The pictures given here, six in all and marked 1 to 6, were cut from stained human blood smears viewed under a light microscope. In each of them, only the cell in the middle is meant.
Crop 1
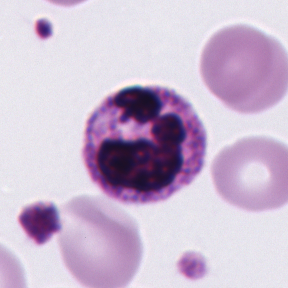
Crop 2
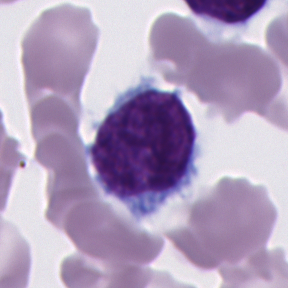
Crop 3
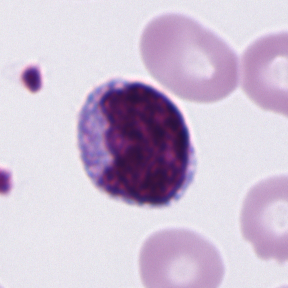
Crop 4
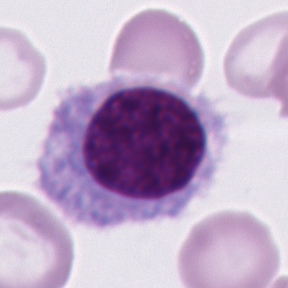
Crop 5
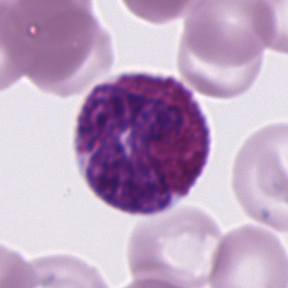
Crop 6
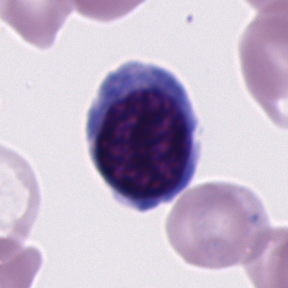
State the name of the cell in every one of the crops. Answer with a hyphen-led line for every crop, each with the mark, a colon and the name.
- 1: neutrophil
- 2: hairy cell
- 3: monocyte
- 4: hairy cell
- 5: eosinophil
- 6: erythroblast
